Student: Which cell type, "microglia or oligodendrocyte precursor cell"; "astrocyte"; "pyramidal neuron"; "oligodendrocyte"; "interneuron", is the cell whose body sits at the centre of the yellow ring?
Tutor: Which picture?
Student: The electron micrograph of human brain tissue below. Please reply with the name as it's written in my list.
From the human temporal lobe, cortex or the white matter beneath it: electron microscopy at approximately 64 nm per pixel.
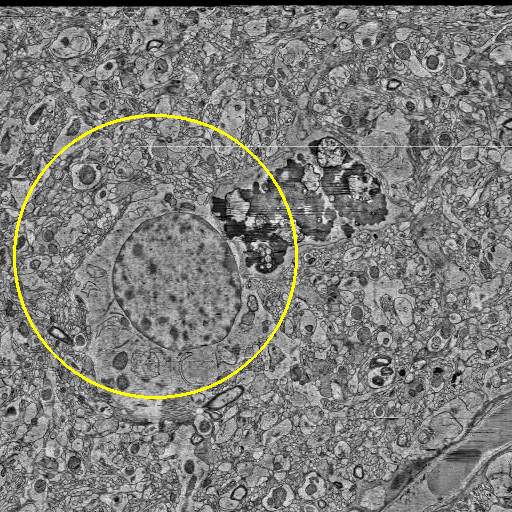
astrocyte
